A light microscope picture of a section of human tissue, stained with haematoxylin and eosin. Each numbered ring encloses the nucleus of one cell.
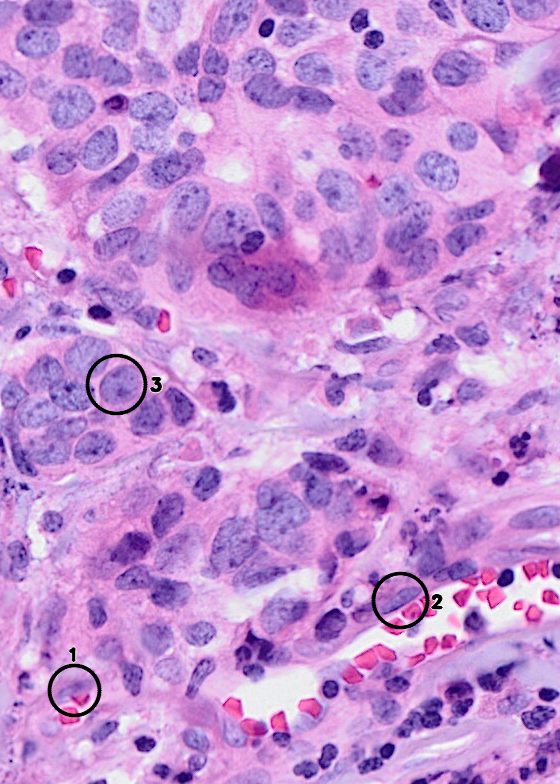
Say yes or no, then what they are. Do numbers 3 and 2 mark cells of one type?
No, cell 3 is a carcinoma cell, while cell 2 is an endothelial cell.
